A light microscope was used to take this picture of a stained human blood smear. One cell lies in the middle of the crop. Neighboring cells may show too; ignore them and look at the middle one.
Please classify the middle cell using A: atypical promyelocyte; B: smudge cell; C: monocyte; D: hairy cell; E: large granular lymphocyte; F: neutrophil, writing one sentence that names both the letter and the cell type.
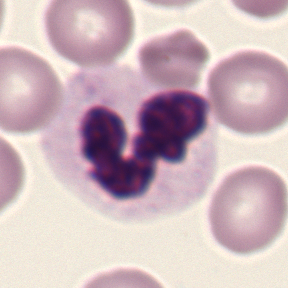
For this crop, option F is right, the centered cell being a neutrophil.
